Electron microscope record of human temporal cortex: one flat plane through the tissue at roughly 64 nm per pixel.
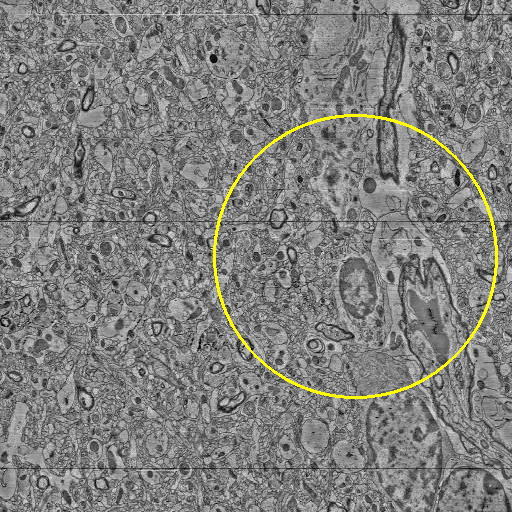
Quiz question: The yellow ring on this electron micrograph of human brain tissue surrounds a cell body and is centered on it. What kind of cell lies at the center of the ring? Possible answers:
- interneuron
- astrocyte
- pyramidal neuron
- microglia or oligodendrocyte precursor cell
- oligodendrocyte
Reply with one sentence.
The ring's center lies on a microglial cell or oligodendrocyte precursor cell.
